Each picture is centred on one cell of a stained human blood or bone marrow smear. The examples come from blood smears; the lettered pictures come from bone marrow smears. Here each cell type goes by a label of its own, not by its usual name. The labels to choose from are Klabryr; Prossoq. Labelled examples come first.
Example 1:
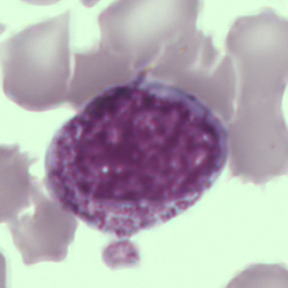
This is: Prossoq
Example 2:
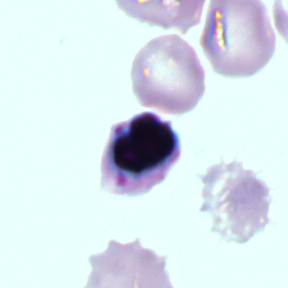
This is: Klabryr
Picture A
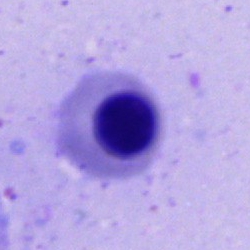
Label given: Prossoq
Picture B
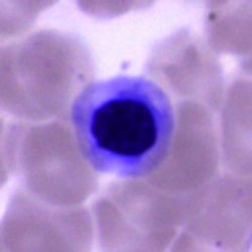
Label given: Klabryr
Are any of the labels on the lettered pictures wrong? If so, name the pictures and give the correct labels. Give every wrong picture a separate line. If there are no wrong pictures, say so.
A: Klabryr, not Prossoq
